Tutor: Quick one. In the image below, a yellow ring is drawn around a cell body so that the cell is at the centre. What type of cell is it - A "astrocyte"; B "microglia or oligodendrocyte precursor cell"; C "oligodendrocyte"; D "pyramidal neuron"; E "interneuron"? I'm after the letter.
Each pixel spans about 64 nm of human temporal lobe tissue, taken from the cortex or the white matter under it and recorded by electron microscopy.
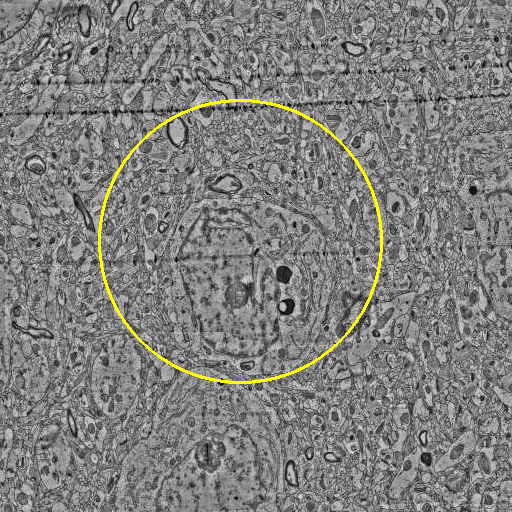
E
